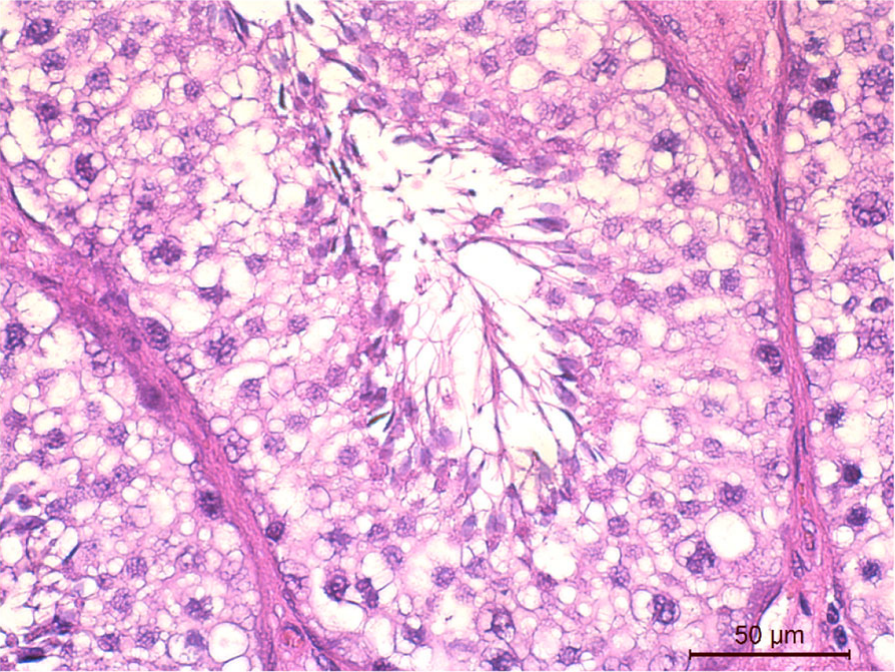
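This is a cross-section through a seminiferous tubule of the testis, its central lumen holding elongated spermatids. The spermatids lie in bundles at the edge of the lumen, with slender, dark purple heads and fine pink tails reaching into the open centre. The surrounding epithelium is thick and packed with rounded cells whose nuclei show coarse, clumped chromatin, and many clear, empty-looking vacuoles lie among them. Thin pink bands of connective tissue run along both sides, marking the boundaries with the neighbouring tubules.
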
